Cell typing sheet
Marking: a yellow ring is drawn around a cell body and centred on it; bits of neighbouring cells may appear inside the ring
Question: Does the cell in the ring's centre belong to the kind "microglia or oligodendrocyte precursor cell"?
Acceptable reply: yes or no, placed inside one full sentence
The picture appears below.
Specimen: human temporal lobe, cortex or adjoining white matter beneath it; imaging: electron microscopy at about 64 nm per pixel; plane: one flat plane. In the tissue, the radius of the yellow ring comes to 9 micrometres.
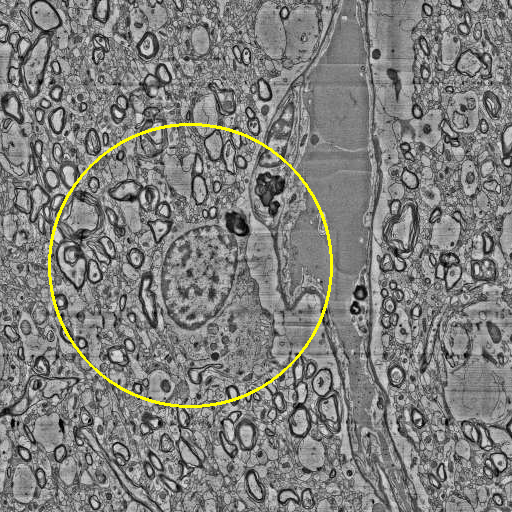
No, the cell at the centre of the ring belongs to a different kind.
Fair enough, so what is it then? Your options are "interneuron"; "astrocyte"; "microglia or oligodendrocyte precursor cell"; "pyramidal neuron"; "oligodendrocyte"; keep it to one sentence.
This picture has an oligodendrocyte at the centre of its ring.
